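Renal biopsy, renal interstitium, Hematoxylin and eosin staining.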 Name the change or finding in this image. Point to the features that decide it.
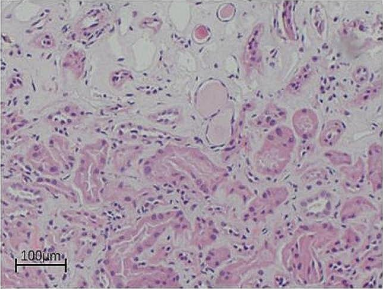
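Lymphoid and mononuclear cell infiltration with fibrosis. Small round dark nuclei are scattered in the widened pale pink tissue between tubules. The tubules are separated by increased pale fibrous tissue.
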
